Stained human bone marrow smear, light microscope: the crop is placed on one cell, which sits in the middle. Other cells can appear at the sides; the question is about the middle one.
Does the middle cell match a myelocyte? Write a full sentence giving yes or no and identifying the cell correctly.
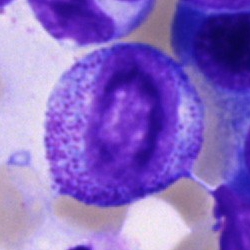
No, what lies at the heart of the crop is a promyelocyte, not a myelocyte.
